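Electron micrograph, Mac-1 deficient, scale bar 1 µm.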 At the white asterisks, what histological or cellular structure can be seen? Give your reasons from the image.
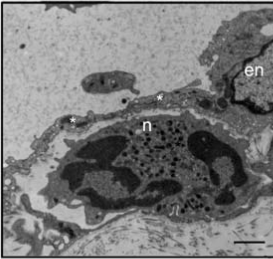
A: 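The asterisks lie on a thin layer stretched over the luminal side of the large granulated cell. The layer continues toward a cell with a nucleus at the upper right. On this evidence: thin endothelial sheet.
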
